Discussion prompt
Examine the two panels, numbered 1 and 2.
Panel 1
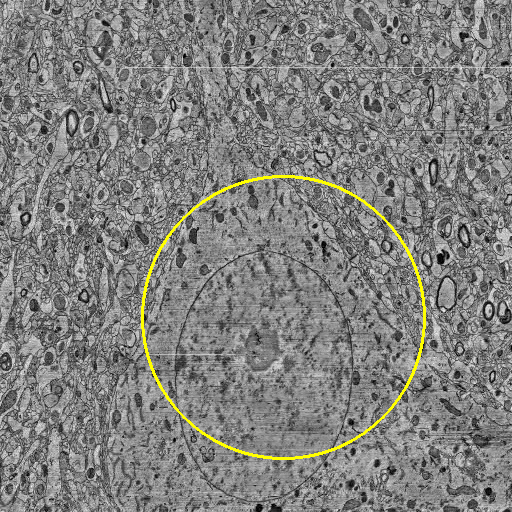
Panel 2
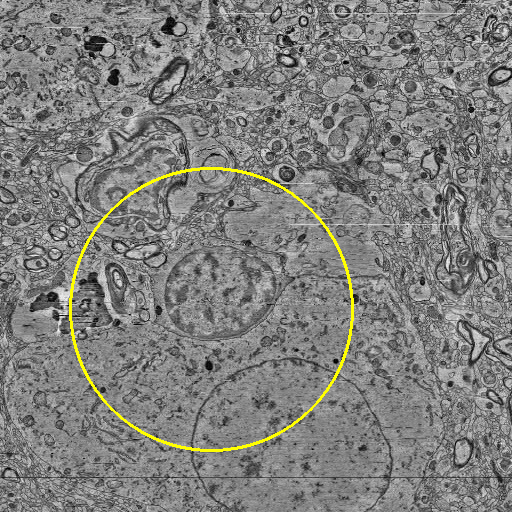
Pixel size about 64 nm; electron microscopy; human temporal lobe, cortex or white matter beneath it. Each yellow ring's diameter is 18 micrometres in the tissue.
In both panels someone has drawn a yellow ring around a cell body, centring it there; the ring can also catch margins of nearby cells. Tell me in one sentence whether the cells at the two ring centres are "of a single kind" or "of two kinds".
Taken together, the two cells centred in the rings of Panels 1 and 2 are of two kinds.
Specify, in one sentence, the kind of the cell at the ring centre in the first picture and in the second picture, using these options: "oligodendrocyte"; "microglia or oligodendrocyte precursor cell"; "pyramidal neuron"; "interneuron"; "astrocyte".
So the first is a pyramidal neuron, the second an oligodendrocyte.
